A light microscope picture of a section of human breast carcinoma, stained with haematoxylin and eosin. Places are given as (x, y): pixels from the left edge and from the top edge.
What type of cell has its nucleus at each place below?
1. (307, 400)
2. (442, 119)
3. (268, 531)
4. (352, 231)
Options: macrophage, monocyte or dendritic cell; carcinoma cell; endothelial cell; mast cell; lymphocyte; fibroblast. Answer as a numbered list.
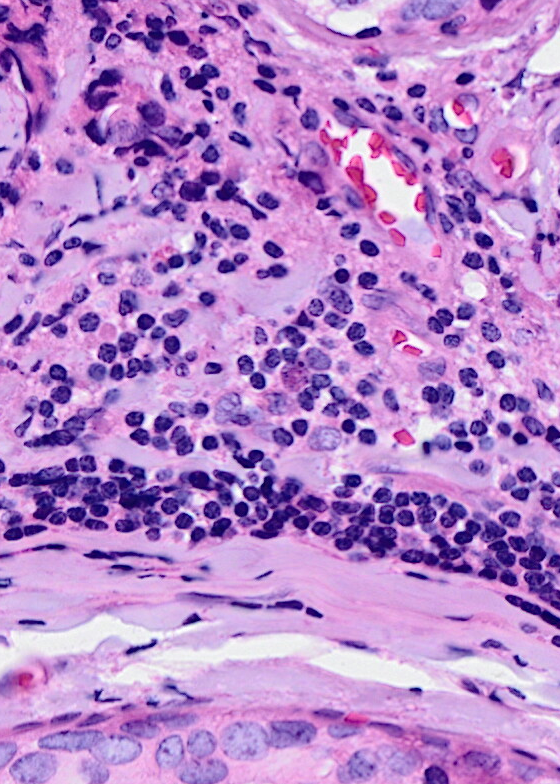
1. lymphocyte
2. endothelial cell
3. lymphocyte
4. lymphocyte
